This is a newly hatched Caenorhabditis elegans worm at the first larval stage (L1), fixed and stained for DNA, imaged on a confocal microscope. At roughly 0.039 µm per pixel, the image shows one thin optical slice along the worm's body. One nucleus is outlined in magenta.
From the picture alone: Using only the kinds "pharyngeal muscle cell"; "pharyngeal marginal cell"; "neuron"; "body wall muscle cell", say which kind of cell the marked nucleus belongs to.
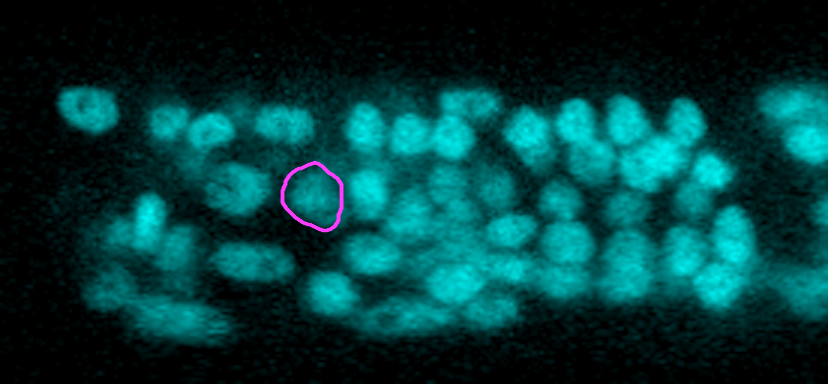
pharyngeal muscle cell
